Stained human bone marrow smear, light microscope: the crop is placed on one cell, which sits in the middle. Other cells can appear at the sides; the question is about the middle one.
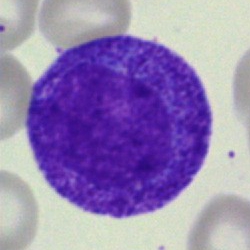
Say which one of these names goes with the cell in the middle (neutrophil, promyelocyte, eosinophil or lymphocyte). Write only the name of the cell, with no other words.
promyelocyte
